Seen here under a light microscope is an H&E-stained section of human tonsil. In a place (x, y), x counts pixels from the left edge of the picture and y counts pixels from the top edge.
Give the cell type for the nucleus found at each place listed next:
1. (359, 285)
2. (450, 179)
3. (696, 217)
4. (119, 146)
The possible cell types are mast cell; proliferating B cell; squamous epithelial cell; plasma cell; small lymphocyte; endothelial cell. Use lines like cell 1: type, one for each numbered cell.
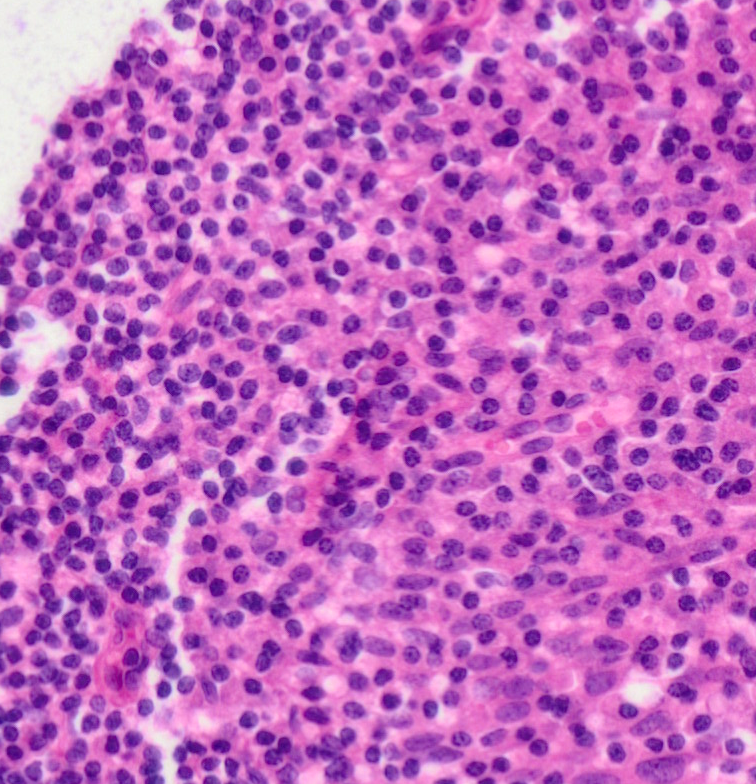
cell 1: plasma cell
cell 2: plasma cell
cell 3: plasma cell
cell 4: small lymphocyte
